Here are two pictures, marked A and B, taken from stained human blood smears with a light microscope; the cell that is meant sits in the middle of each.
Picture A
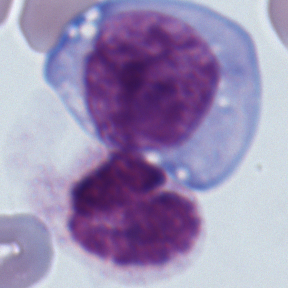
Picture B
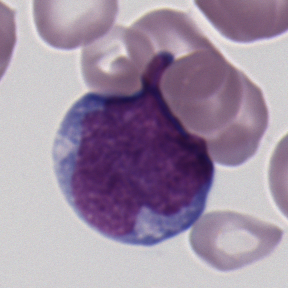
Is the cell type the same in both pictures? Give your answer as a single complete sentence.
Yes, both cells are myeloblasts.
